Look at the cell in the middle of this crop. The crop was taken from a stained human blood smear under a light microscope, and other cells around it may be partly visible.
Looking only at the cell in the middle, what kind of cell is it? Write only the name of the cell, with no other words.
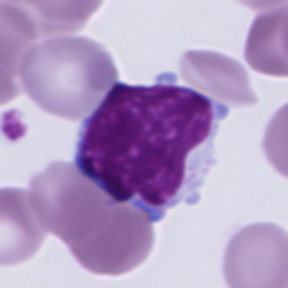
large granular lymphocyte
